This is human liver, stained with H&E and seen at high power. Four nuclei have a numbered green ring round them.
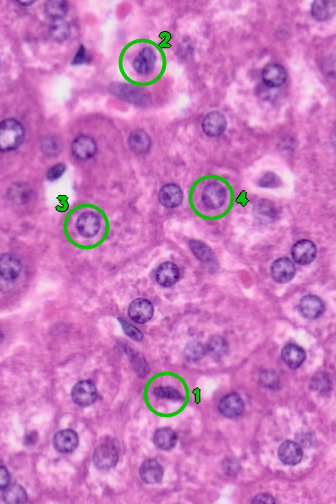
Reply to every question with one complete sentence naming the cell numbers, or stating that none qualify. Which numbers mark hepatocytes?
Cells 3 and 4 share one type; they are hepatocytes.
